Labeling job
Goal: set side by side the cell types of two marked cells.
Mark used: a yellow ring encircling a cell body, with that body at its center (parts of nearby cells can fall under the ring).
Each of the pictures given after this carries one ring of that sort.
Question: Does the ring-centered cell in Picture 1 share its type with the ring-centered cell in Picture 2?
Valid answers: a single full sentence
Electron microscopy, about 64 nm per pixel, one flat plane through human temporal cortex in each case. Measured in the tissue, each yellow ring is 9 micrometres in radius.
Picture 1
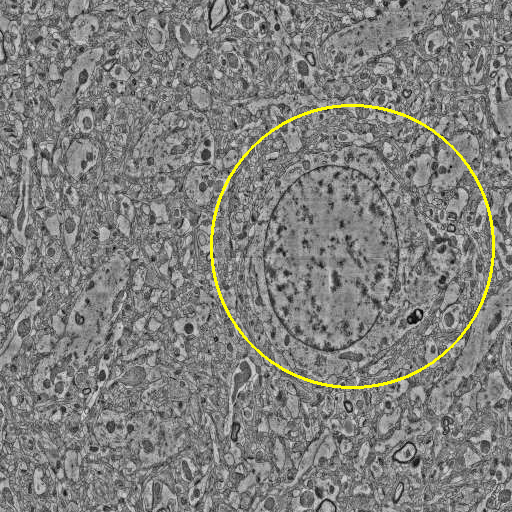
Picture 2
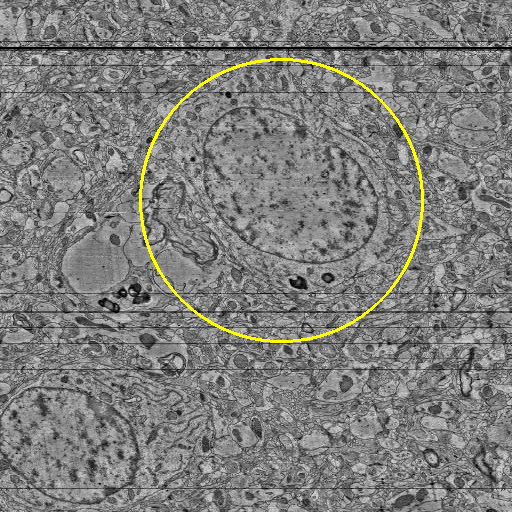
Yes, in Pictures 1 and 2 the cells at the ring centers share one type.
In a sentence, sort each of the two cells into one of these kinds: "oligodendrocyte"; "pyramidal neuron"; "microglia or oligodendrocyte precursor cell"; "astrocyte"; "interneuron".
The ring centre holds a pyramidal neuron in each of the two pictures.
